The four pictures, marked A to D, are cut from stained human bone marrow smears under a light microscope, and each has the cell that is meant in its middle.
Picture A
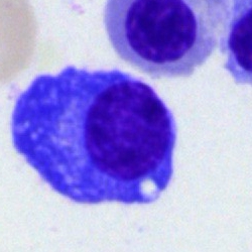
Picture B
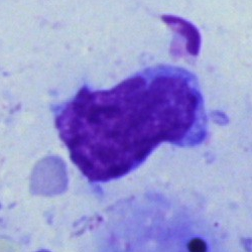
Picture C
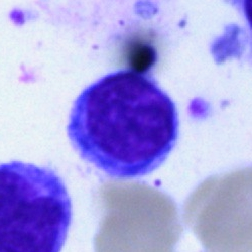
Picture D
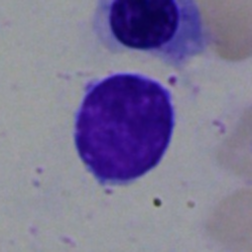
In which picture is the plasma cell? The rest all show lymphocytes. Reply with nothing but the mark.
A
